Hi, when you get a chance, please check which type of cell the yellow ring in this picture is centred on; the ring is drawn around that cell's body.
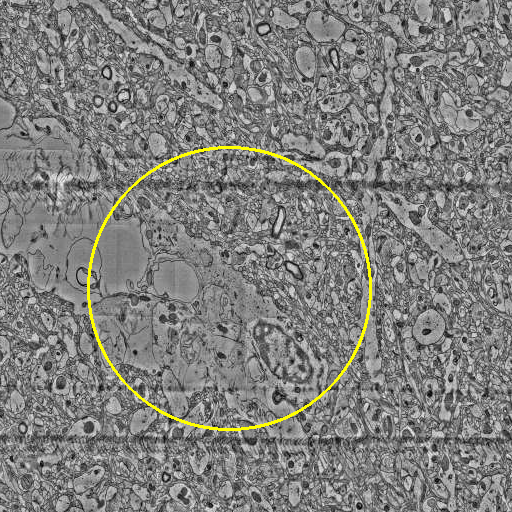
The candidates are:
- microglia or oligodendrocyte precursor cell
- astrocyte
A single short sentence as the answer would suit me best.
The ring is drawn around the body of a microglial cell or oligodendrocyte precursor cell.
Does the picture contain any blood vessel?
Yes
